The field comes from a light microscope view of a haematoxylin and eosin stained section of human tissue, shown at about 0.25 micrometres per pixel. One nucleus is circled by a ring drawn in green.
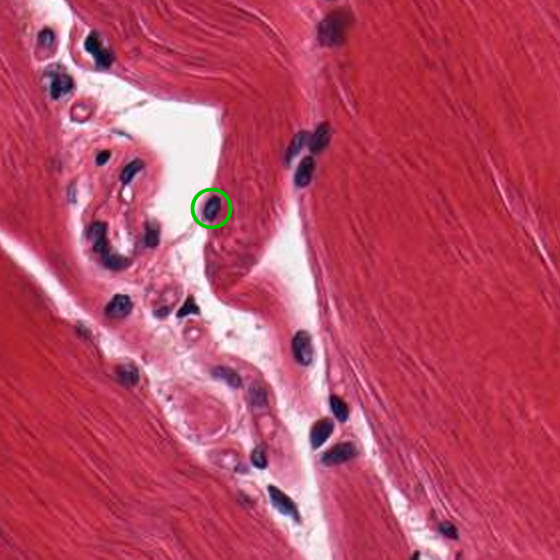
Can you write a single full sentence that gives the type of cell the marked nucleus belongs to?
Within a skeletal muscle fibre lies the marked nucleus.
